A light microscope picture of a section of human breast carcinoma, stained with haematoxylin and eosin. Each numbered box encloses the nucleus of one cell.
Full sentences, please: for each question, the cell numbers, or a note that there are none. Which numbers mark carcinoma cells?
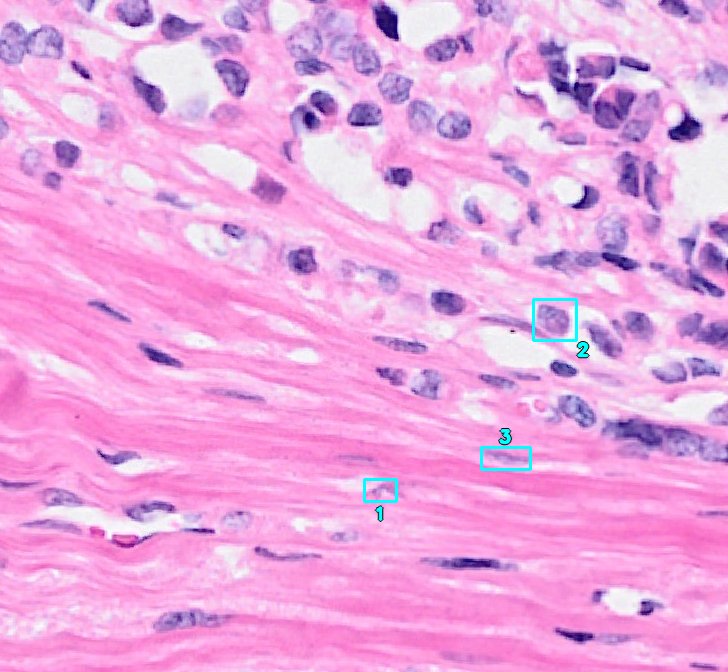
In this set of numbered cells, only cell 2 is a carcinoma cell.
